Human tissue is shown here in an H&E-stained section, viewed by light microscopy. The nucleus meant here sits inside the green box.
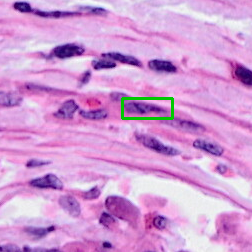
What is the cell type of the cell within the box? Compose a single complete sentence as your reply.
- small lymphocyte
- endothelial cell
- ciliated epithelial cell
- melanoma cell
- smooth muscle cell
In terms of identity, the cell within the box is an endothelial cell.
